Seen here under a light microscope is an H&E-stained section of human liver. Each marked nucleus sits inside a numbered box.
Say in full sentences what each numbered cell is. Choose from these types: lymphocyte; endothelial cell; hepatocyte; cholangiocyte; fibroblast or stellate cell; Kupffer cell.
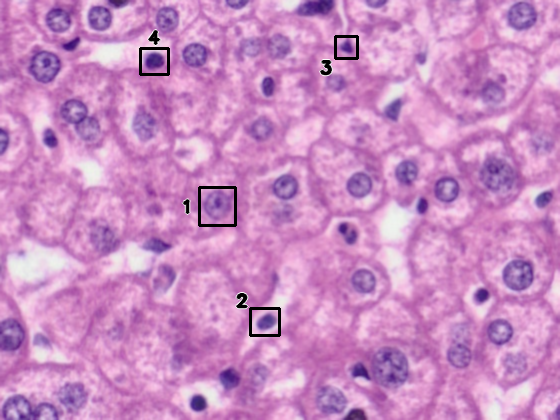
Cell 1 is a hepatocyte. Cells 2 and 4 are lymphocytes. Cell 3 is a fibroblast or stellate cell.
